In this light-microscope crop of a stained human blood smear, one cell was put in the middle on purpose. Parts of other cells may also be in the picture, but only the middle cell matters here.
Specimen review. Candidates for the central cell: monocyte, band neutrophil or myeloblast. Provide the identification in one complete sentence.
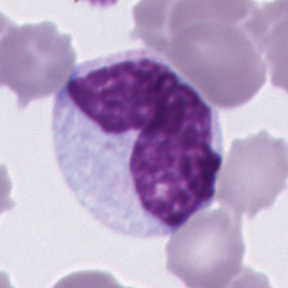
The cell shown in the center of this light-microscope crop is a monocyte.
